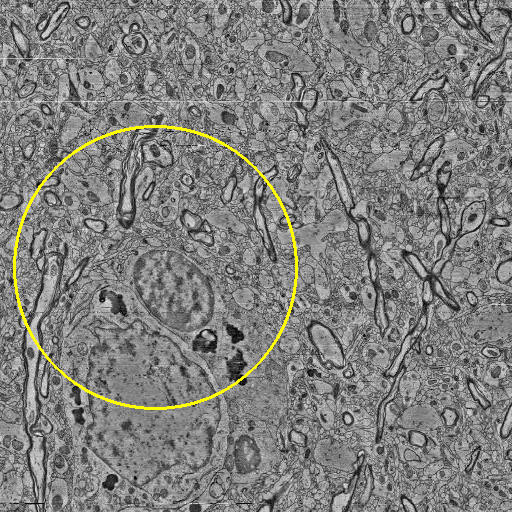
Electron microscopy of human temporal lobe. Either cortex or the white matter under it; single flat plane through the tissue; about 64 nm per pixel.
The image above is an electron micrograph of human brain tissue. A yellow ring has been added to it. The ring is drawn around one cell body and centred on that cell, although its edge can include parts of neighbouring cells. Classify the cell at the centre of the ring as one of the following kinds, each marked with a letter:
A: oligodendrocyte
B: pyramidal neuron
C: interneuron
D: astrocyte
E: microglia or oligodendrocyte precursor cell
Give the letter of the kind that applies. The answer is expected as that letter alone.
A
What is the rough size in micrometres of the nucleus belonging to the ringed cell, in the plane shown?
In this plane the nucleus measures roughly 6 by 4 micrometers.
